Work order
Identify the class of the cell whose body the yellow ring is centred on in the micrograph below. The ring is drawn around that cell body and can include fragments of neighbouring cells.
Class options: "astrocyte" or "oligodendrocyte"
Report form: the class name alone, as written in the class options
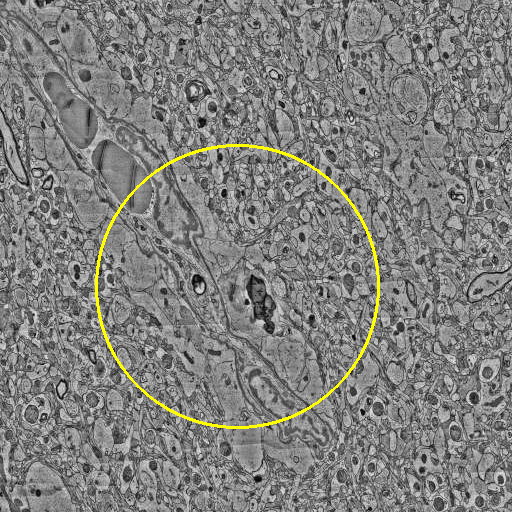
oligodendrocyte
